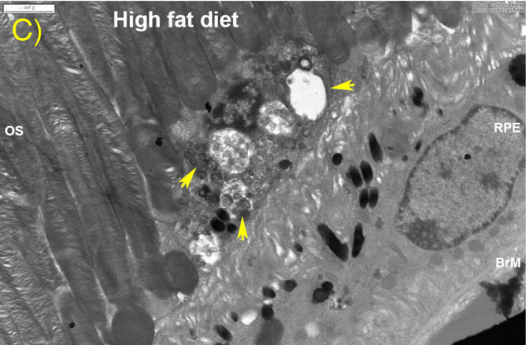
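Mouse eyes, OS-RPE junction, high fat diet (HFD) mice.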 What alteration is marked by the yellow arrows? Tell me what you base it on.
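Electron-dense aggregates within vacuoles. The arrows point to rounded membrane-bound vacuoles at the boundary between the outer segments and the epithelium. Dark granular material also lies outside the vacuoles nearby.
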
